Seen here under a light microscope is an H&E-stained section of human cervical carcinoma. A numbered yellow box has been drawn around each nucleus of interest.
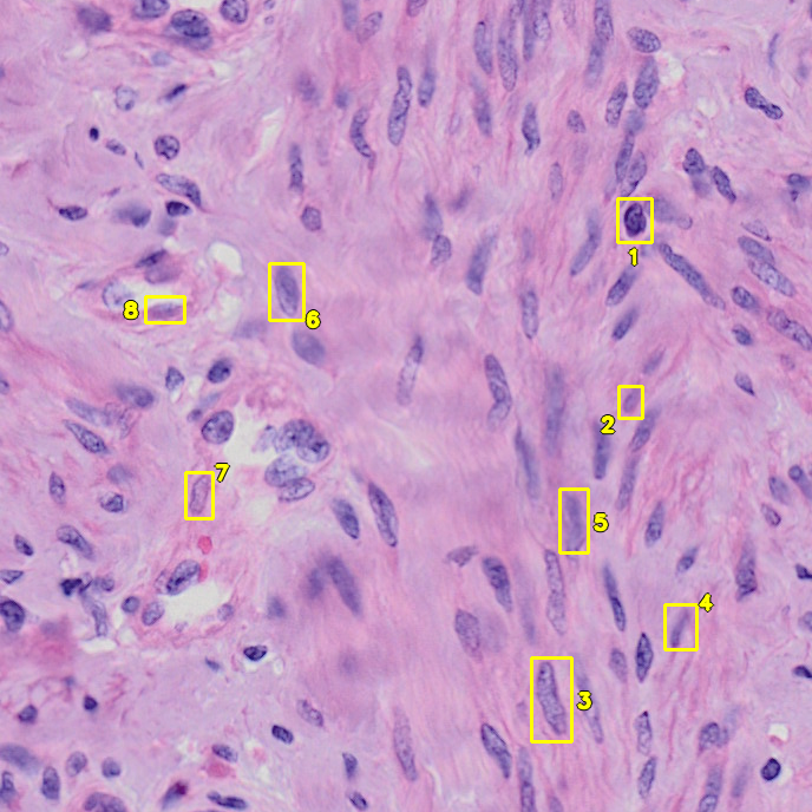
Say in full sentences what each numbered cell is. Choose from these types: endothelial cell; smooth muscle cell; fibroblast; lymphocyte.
Cell 1 is a lymphocyte, cell 2 is a smooth muscle cell, cell 3 is a smooth muscle cell, cell 4 is a smooth muscle cell, cell 5 is a smooth muscle cell, cell 6 is a fibroblast, cell 7 is an endothelial cell and cell 8 is an endothelial cell.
